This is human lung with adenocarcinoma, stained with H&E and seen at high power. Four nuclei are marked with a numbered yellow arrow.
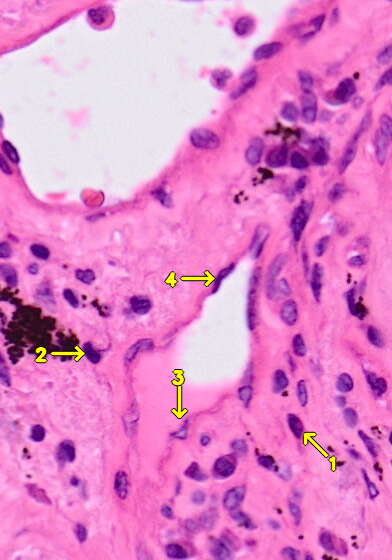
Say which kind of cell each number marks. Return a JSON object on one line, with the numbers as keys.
{"1": "plasma cell", "2": "lymphocyte", "3": "endothelial cell", "4": "endothelial cell"}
